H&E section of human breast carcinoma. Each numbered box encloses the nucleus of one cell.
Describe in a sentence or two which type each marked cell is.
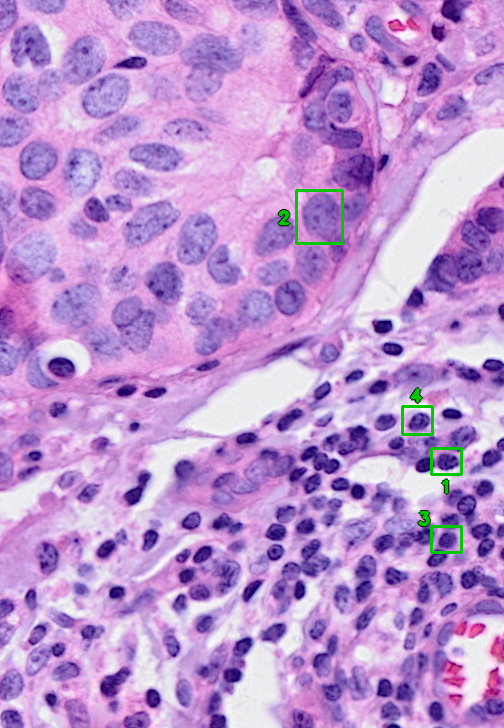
Cells 1, 3 and 4 are lymphocytes. Cell 2 is a carcinoma cell.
